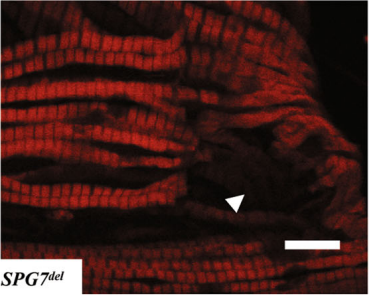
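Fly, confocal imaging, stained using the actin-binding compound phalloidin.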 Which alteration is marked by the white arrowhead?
Degenerating muscle fibers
